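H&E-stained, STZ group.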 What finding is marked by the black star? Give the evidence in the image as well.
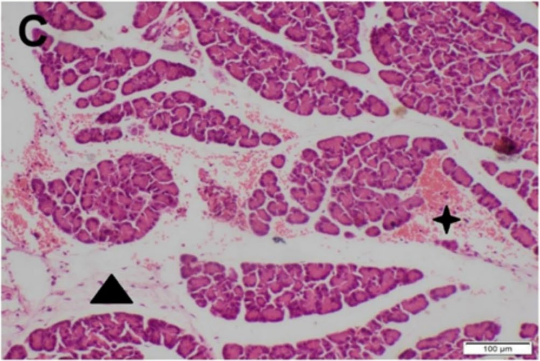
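The star sits in a space between lobules filled with red blood cells. Red cells are scattered outside vessels in the interlobular tissue. So: interstitial hemorrhage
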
